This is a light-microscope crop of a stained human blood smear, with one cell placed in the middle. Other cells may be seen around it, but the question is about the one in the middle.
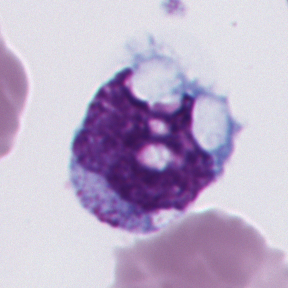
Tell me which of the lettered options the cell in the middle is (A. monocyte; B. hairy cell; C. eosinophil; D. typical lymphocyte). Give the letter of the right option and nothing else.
A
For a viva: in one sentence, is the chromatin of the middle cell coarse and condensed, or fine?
Take a look at the chromatin, which is coarsely clumped.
